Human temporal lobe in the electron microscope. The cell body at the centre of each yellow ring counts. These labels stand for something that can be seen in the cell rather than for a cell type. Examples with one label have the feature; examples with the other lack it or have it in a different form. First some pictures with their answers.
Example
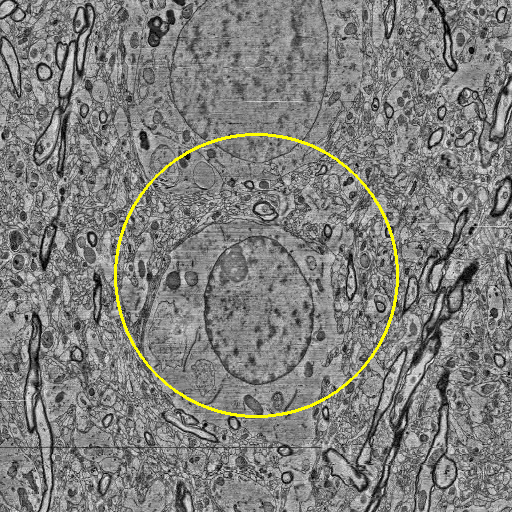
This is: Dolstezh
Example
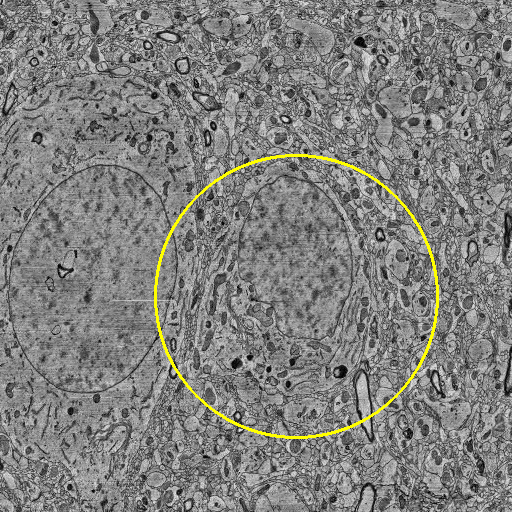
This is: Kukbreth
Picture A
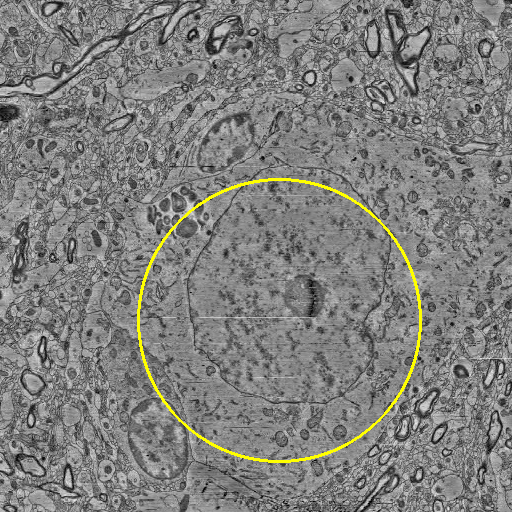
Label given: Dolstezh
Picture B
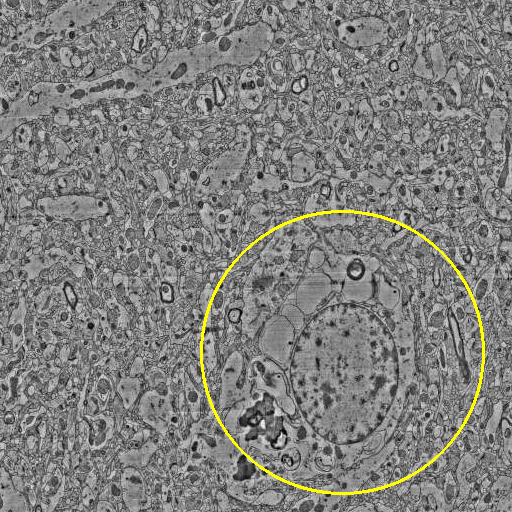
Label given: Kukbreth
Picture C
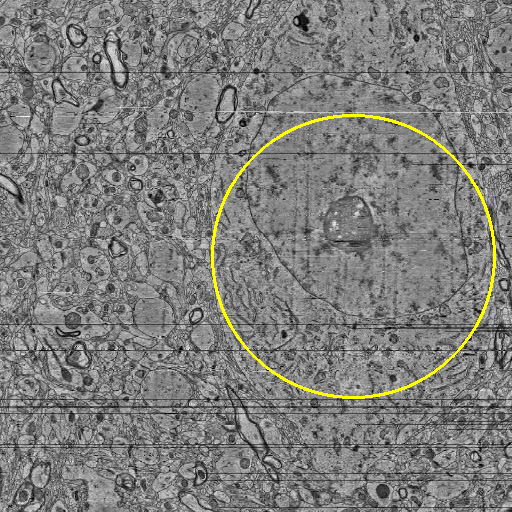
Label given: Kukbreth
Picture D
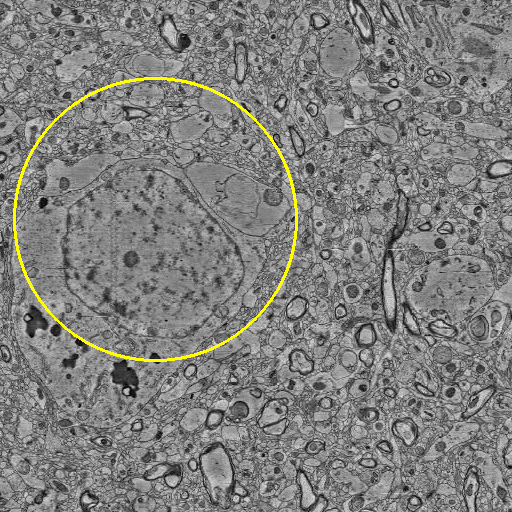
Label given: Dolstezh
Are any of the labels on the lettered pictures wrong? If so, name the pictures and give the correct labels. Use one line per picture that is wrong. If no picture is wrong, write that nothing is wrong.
C should be Dolstezh, not Kukbreth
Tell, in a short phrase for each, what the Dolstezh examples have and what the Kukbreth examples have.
Dolstezh, nucleolus seen; Kukbreth, no nucleolus seen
